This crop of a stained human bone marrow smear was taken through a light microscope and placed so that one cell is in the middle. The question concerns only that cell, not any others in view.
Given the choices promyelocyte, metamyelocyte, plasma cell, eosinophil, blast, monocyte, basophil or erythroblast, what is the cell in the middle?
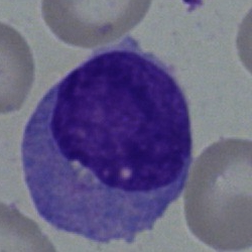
monocyte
